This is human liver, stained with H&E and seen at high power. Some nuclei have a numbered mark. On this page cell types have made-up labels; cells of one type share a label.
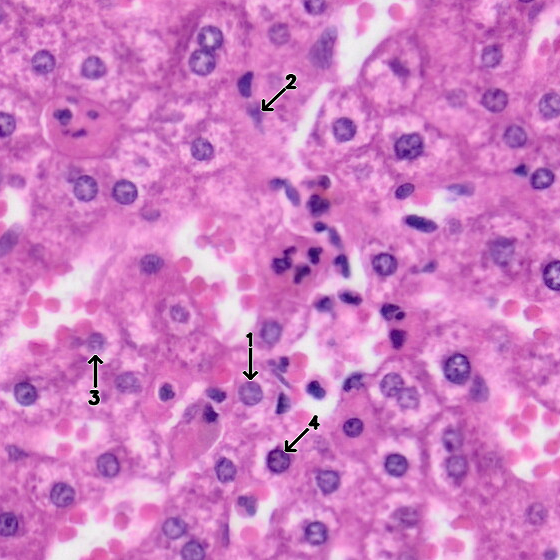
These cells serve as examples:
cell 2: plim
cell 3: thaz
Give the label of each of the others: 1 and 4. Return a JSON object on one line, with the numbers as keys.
{"1": "thaz", "4": "thaz"}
